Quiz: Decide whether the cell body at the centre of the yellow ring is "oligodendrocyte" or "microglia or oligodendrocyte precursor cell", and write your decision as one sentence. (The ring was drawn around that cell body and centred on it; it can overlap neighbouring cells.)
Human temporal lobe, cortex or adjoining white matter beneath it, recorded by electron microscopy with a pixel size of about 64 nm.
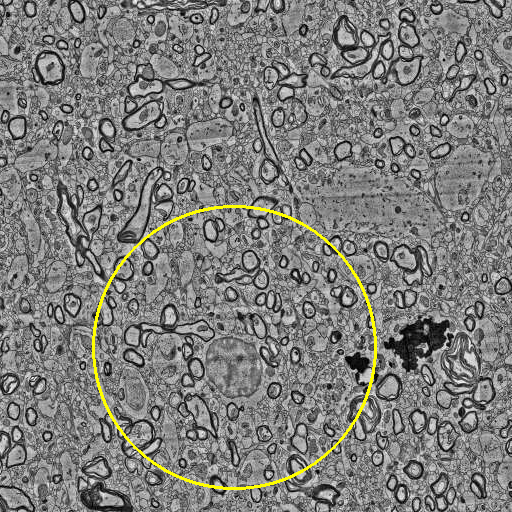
The cell the ring is centred on is an oligodendrocyte.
